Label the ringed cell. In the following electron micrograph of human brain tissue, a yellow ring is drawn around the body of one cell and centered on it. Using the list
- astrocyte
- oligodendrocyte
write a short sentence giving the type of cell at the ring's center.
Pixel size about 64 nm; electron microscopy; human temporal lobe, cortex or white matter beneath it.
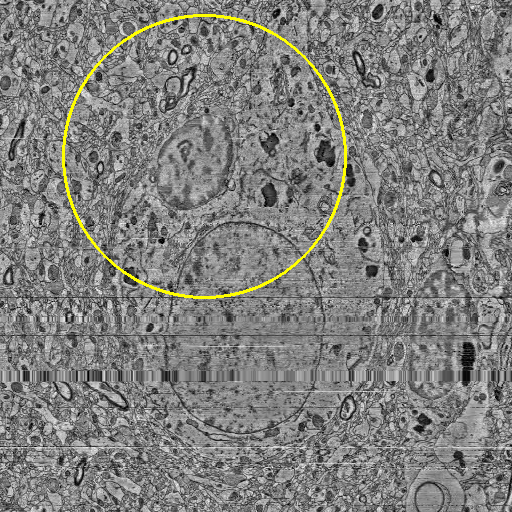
The cell body at the ring's center is that of an oligodendrocyte.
